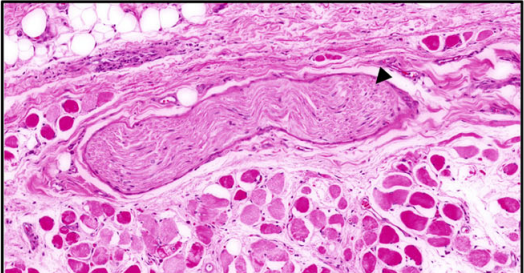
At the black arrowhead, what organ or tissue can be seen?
nerve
